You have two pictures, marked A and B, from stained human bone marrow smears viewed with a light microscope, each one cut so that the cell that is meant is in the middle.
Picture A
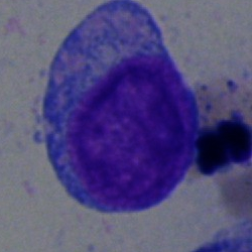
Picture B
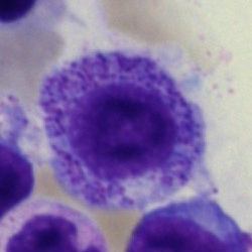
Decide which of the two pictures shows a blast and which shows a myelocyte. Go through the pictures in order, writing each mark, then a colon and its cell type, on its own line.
A: blast
B: myelocyte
